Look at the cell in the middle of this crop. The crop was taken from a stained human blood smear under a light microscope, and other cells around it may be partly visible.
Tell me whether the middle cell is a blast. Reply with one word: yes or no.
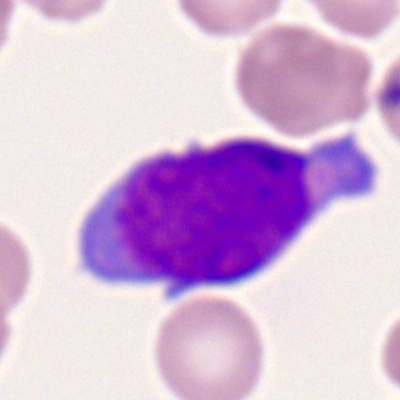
yes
